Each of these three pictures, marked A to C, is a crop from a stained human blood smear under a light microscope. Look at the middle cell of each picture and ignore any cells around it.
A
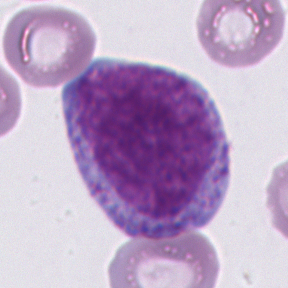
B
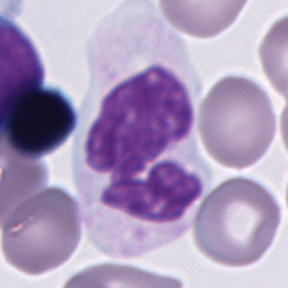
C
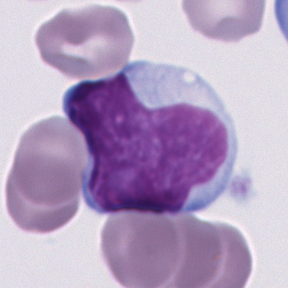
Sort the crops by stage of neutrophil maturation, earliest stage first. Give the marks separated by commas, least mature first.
C, A, B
